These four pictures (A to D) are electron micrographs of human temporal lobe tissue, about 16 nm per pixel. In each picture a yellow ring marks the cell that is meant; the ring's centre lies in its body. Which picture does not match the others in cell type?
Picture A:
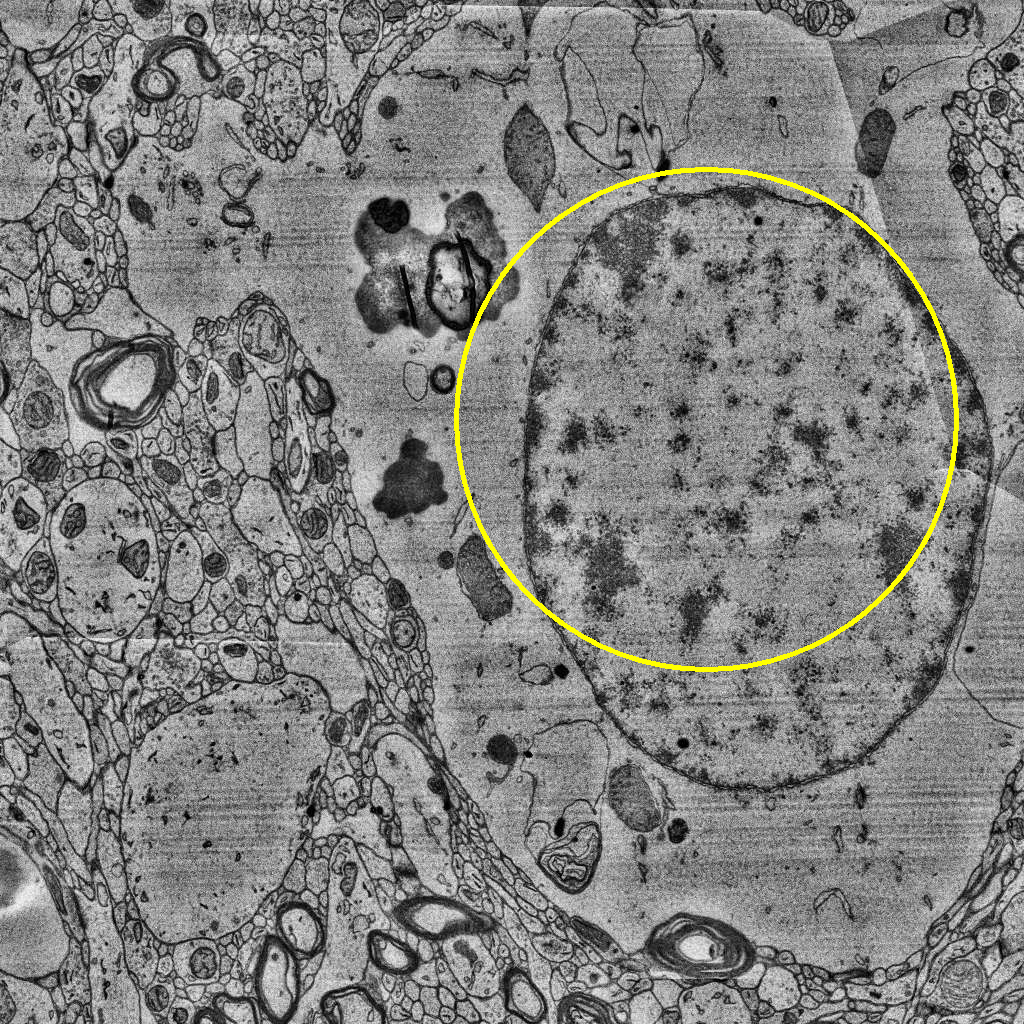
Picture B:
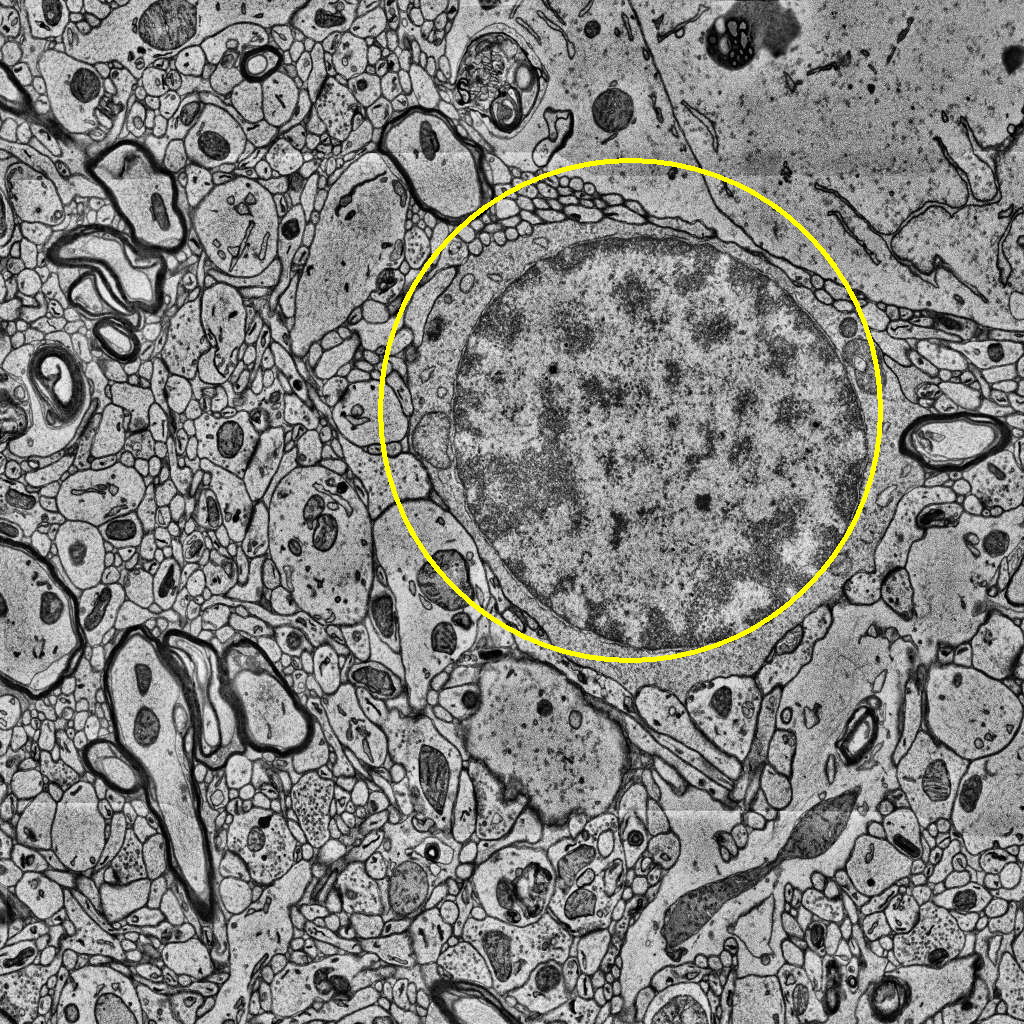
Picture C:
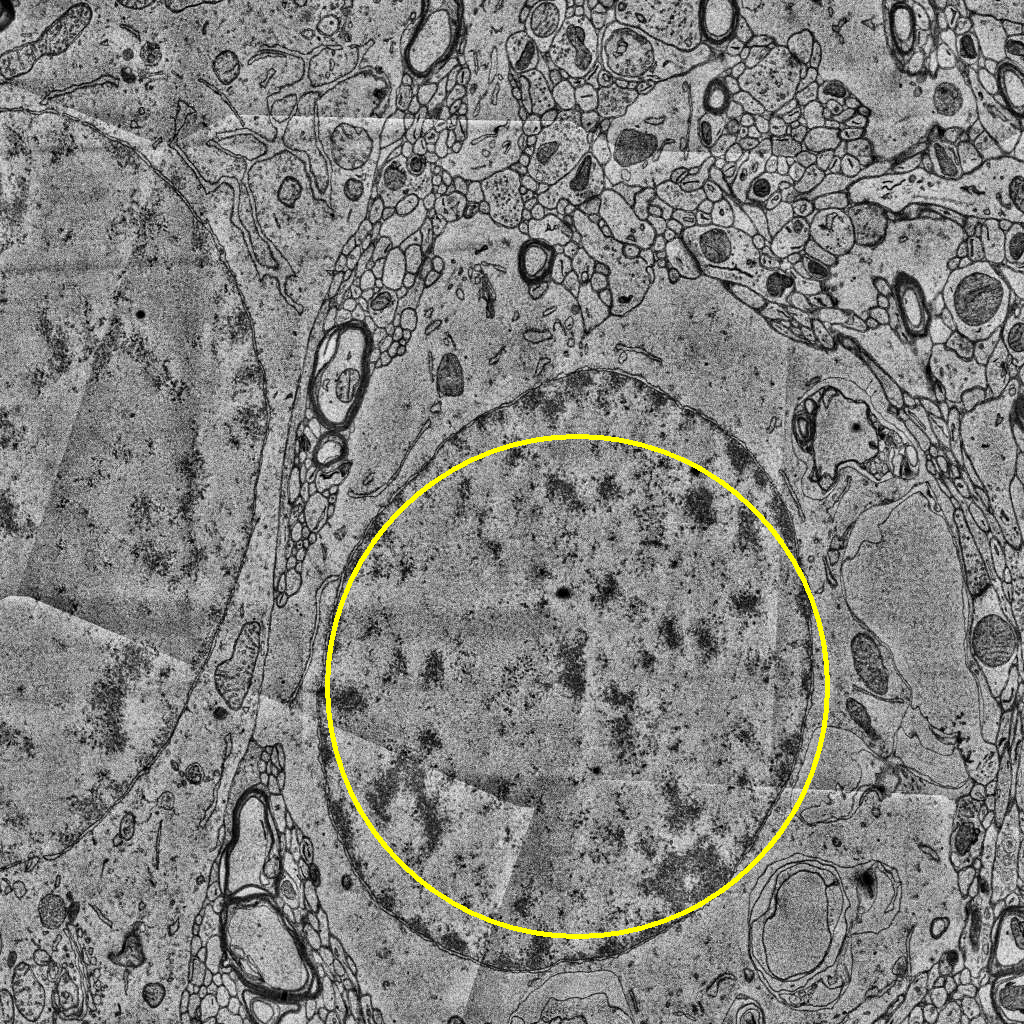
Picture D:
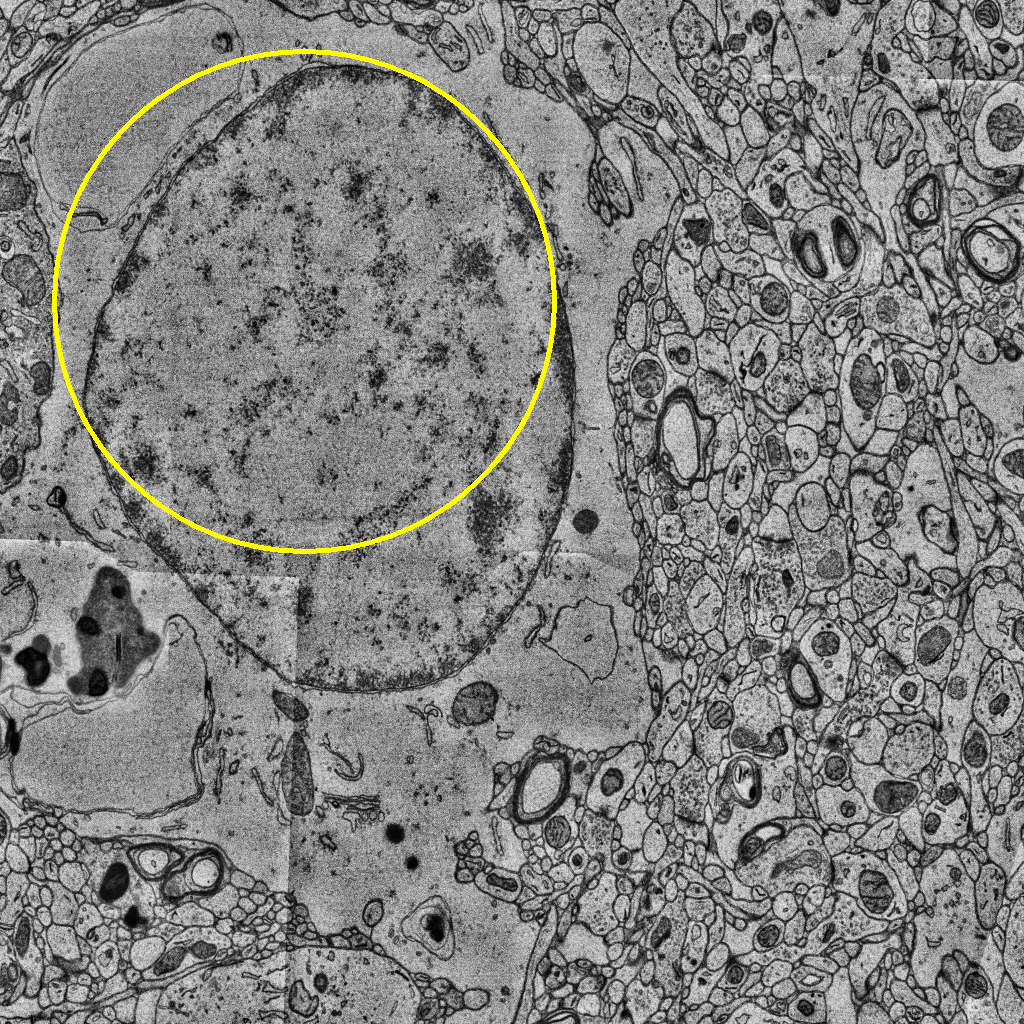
The others show astrocytes, but picture B shows an oligodendrocyte.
